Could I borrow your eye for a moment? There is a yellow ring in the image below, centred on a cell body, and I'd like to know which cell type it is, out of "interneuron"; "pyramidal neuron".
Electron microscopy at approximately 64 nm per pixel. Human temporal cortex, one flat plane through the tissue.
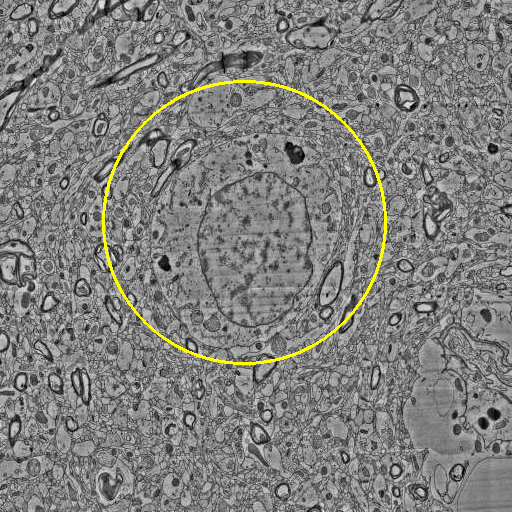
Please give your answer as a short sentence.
The cell body at the centre is that of a pyramidal neuron.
